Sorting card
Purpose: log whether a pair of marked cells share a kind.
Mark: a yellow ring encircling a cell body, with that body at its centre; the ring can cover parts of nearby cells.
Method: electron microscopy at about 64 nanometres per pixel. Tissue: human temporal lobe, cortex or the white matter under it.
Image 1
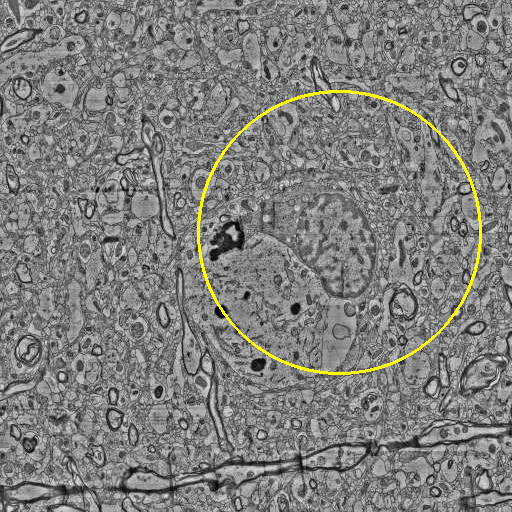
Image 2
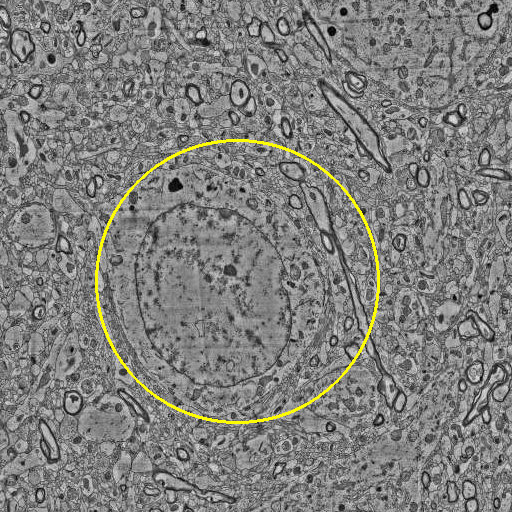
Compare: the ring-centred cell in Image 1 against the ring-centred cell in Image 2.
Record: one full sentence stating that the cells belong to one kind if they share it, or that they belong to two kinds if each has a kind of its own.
Across Images 1 and 2, the two ring-centred cells belong to two kinds.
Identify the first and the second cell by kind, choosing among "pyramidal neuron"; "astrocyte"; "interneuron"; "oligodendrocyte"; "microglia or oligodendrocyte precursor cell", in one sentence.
The one in the first picture is an oligodendrocyte, while the one in the second is a pyramidal neuron.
